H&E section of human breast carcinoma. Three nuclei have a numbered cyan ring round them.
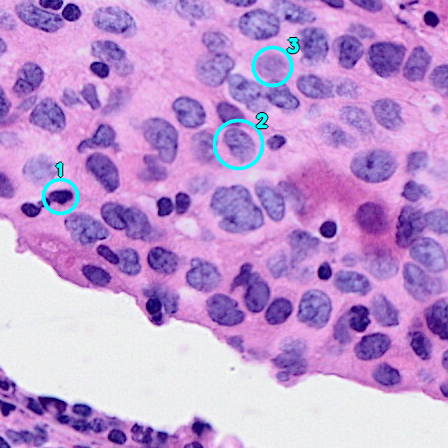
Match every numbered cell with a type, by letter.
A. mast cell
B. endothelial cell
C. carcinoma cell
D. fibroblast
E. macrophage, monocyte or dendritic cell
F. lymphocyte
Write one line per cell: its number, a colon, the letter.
1: F
2: C
3: C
